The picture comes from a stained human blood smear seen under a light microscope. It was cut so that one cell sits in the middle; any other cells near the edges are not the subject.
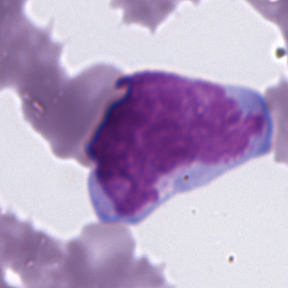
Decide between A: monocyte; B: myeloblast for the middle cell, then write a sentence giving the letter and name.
The cell right in the middle is a myeloblast, so option B is the one.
